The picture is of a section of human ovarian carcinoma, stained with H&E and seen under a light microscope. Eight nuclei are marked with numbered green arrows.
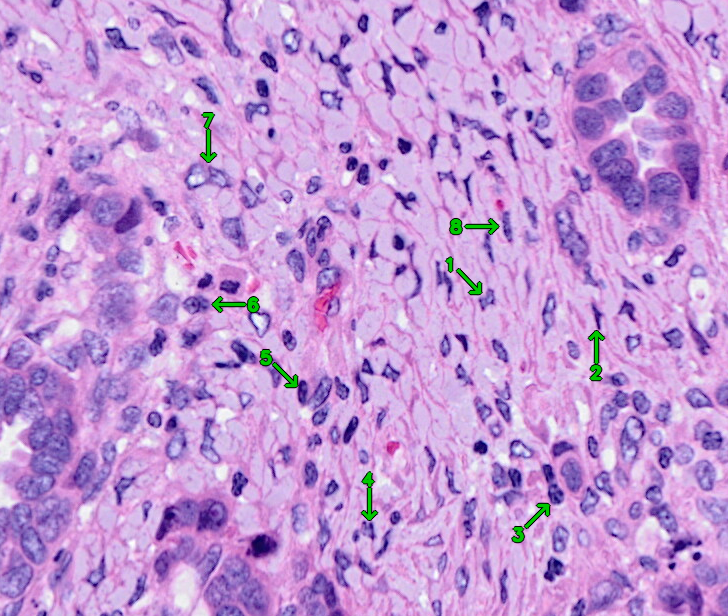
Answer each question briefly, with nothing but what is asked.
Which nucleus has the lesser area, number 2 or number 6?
2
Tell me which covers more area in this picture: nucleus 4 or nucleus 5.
5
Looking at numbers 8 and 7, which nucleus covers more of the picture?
7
